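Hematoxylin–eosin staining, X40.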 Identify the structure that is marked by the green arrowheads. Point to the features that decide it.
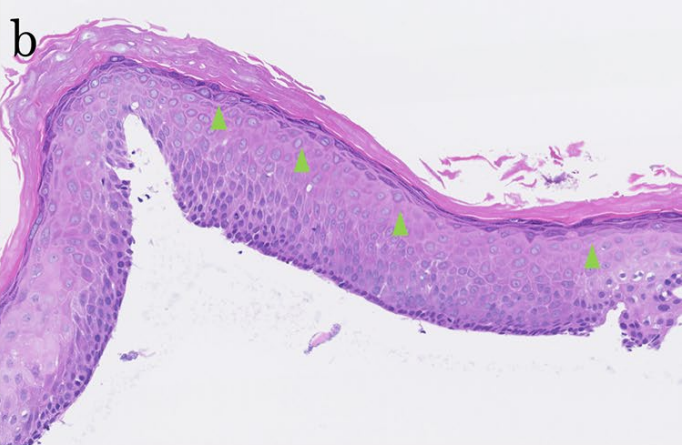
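Granular layer. The arrowheads lie along a thin dark purple band just beneath the pink surface layer. The band sits between the compact pink surface layer and the paler squamous cells below.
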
